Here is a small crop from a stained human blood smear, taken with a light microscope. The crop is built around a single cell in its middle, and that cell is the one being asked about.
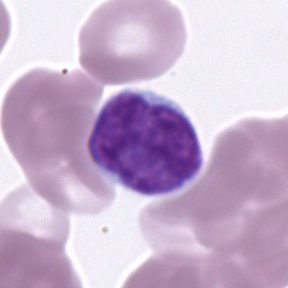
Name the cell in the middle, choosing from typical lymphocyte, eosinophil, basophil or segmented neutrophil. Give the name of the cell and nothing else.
typical lymphocyte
